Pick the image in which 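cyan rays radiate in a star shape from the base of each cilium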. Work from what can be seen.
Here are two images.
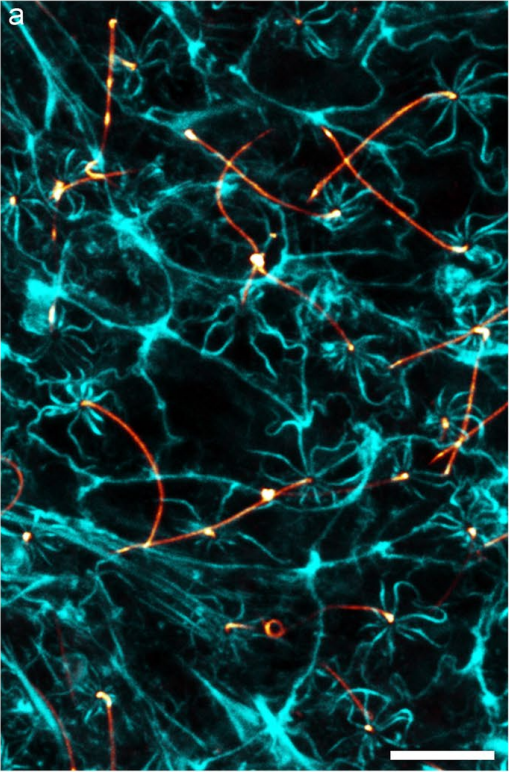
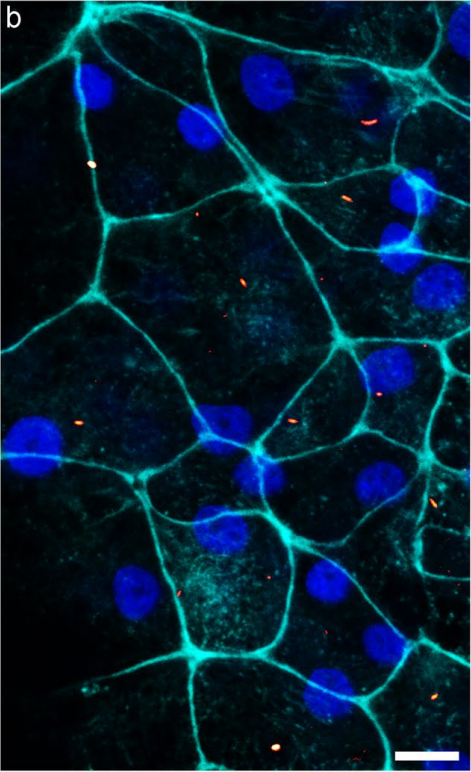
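Second image: cyan outlines only the cell borders, with no star-shaped rays around the short orange dots. First image: many cyan star-shaped rosettes surround the bright bases of long orange filaments. The answer: the first image.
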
